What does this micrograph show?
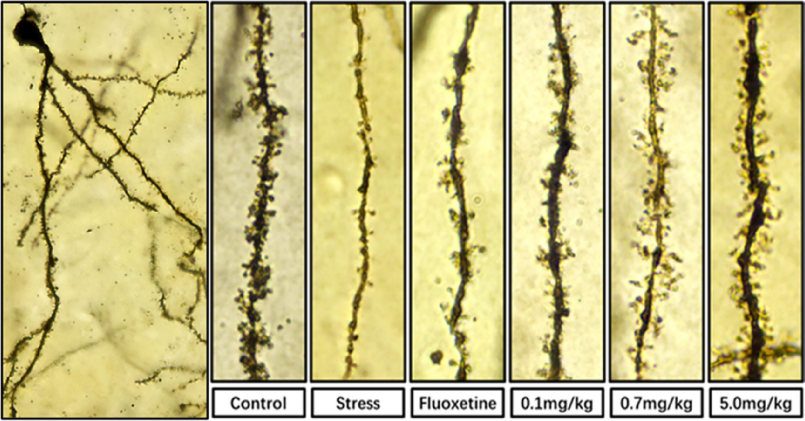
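This shows Golgi-impregnated neurons, with the metal deposit dark brown to black on a pale yellow background. At the left a whole neuron is seen: a small dark cell body near the top with several long, thin, branching dendrites spreading downward and across the field. Beside it a row of narrow strips each shows one dendrite segment at higher magnification, running top to bottom. Along each segment short knob-like protrusions, the spines, project from the shaft; in some strips they are crowded and bushy, in others the shaft looks smoother and thinner with fewer protrusions.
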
